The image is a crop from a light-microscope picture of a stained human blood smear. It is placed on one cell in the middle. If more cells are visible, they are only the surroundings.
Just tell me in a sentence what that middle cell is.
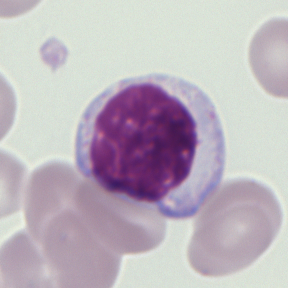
By type, the central cell of the crop is a large granular lymphocyte.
